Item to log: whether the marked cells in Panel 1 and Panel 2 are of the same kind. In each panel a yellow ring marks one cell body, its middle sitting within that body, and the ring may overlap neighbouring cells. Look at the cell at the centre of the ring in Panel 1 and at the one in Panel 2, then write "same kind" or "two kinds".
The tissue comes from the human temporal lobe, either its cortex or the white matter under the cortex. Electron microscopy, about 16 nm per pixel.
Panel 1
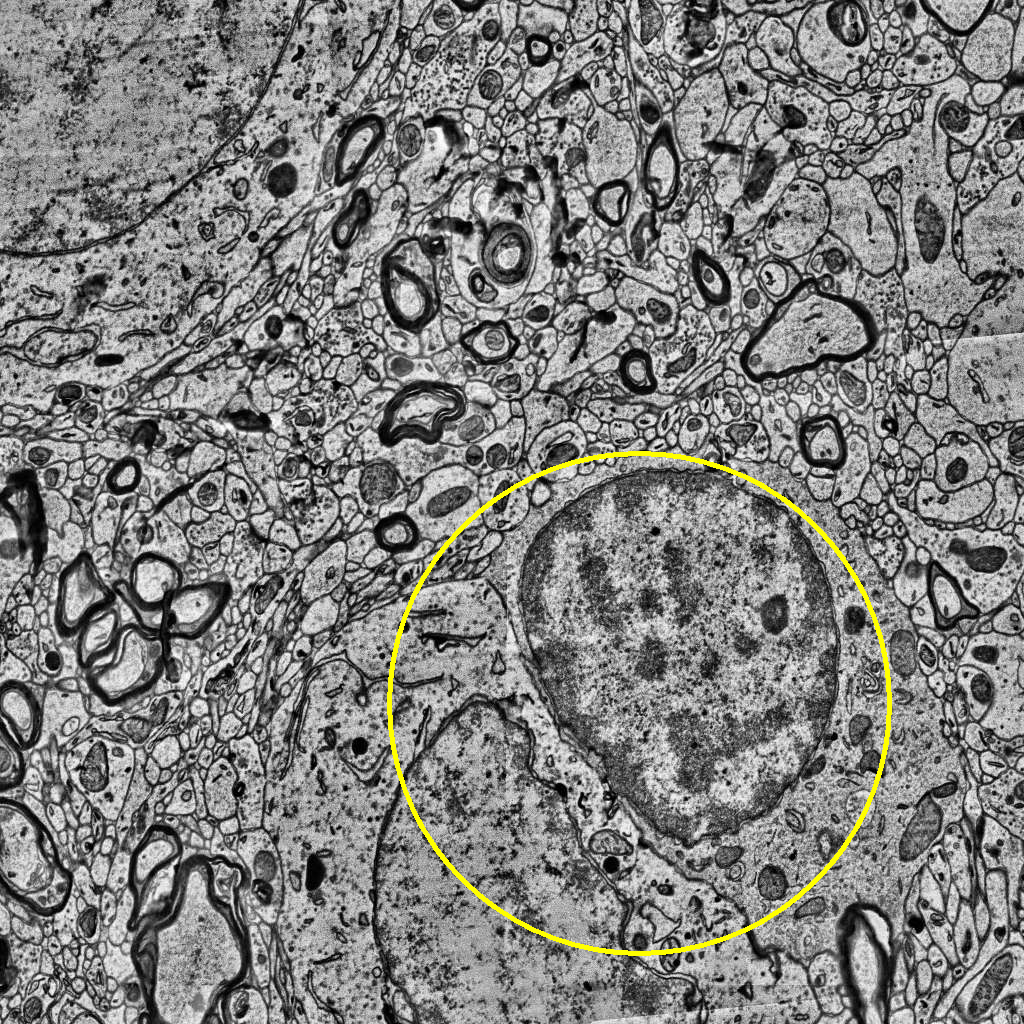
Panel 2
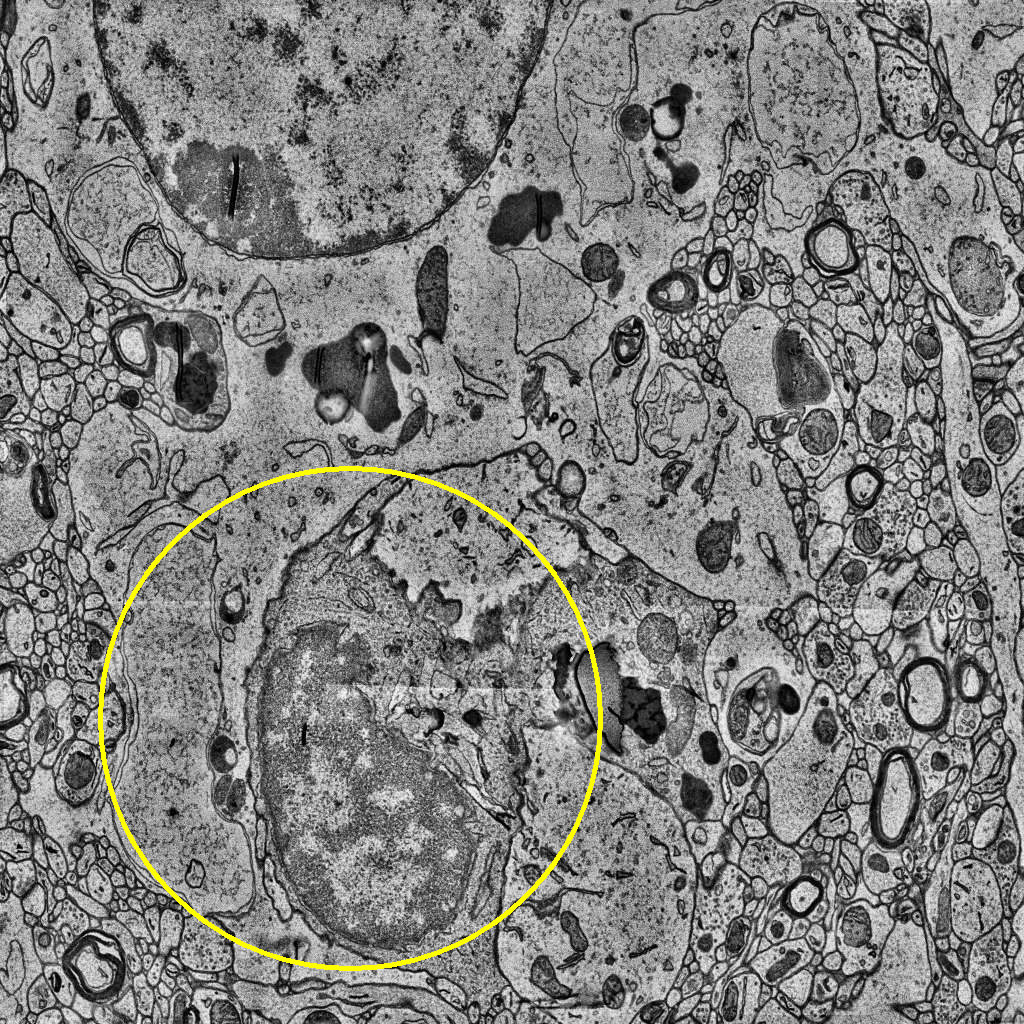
same kind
